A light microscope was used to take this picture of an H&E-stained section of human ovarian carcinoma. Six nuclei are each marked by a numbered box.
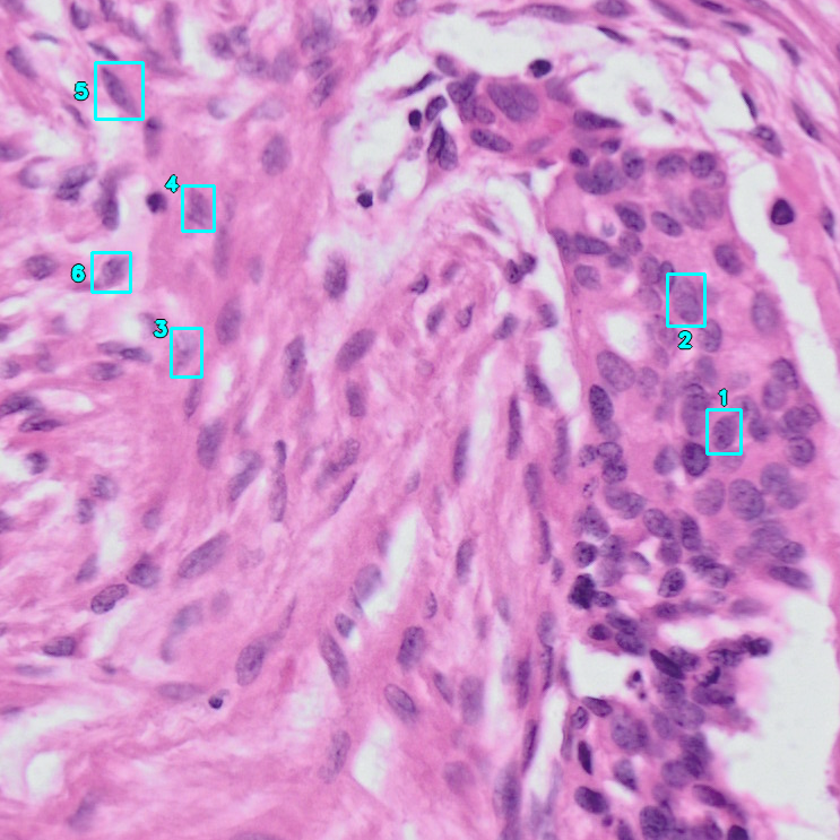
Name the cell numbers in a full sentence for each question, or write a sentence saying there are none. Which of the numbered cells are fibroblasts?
Each of the cells numbered 3, 4, 5 and 6 is among the fibroblasts.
